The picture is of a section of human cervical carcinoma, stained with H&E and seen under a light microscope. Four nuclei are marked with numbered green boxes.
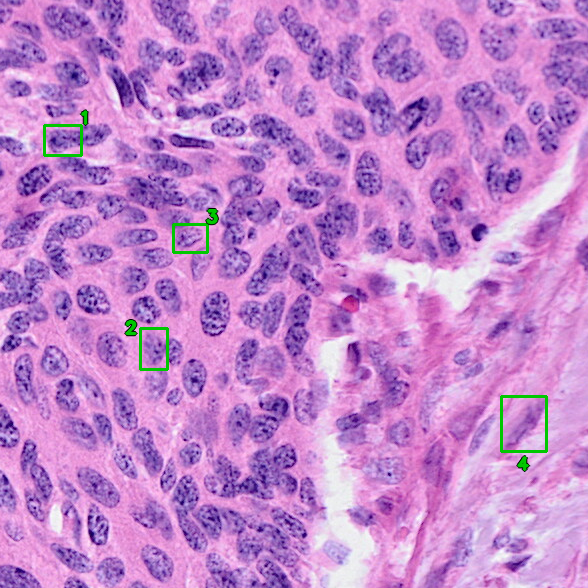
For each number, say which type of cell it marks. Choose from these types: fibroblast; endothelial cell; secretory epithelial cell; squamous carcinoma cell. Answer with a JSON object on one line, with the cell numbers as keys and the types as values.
{"1": "squamous carcinoma cell", "2": "squamous carcinoma cell", "3": "squamous carcinoma cell", "4": "fibroblast"}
